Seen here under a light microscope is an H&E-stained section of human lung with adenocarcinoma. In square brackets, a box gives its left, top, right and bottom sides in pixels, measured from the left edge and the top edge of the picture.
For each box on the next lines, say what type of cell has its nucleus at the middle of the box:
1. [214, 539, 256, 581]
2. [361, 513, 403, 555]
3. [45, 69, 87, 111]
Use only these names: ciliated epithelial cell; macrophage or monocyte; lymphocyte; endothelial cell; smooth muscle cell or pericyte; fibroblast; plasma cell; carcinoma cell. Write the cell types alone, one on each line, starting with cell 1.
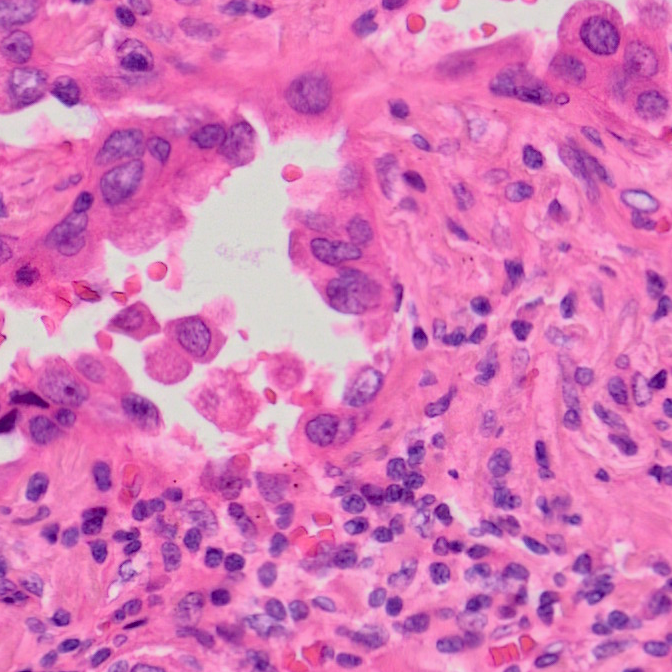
lymphocyte
lymphocyte
carcinoma cell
